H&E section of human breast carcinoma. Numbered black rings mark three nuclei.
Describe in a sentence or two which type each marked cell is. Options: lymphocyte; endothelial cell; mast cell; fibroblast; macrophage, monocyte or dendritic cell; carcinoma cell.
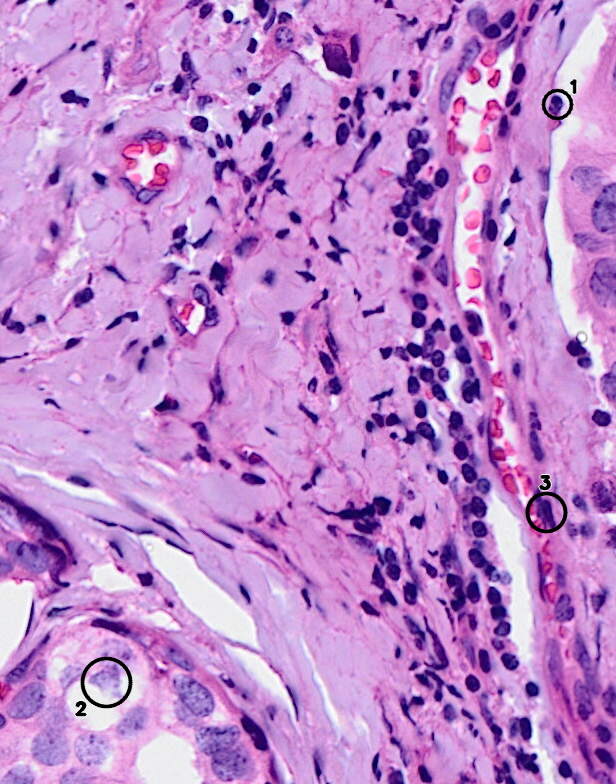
Cell 1 is a lymphocyte. Cell 2 is a carcinoma cell. Cell 3 is an endothelial cell.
